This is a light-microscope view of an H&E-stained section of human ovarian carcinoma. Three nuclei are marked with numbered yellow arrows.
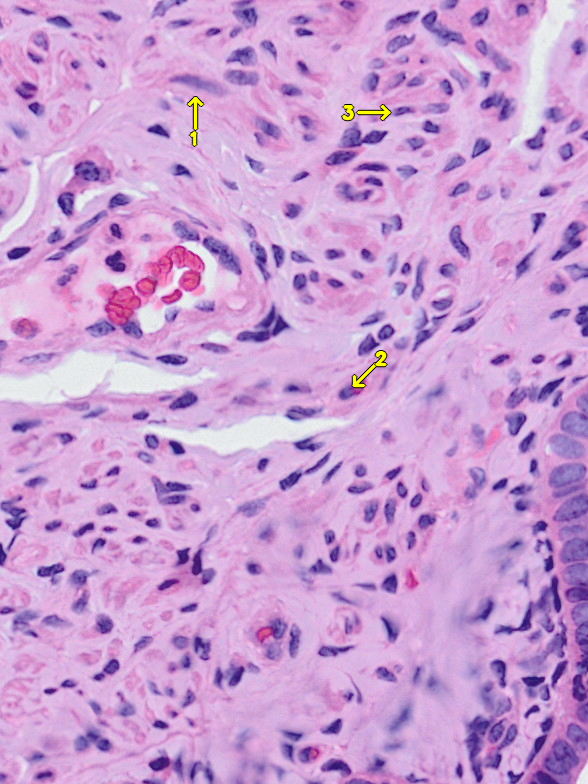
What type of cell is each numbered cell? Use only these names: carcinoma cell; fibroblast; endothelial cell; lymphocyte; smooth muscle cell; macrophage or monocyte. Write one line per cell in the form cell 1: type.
cell 1: smooth muscle cell
cell 2: endothelial cell
cell 3: smooth muscle cell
